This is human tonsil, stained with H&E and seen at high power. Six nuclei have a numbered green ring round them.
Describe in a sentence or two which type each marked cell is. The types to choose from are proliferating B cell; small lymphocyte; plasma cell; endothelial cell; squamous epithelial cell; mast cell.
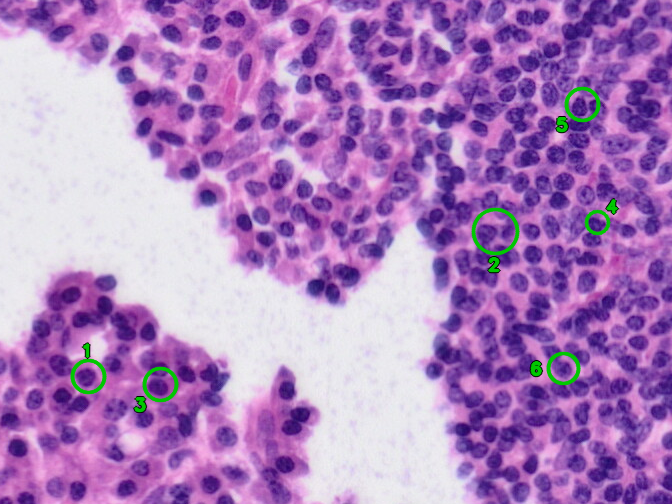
Cell 1 is a plasma cell, cell 2 is a small lymphocyte, cell 3 is a plasma cell, cell 4 is a small lymphocyte, cell 5 is a small lymphocyte and cell 6 is a small lymphocyte.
